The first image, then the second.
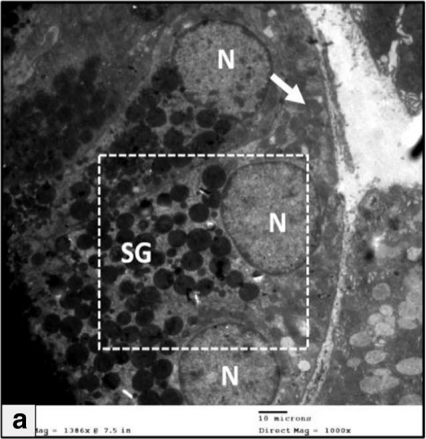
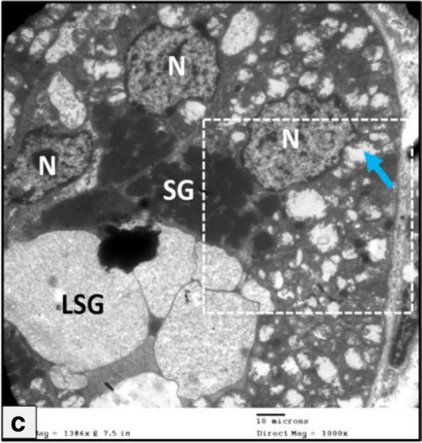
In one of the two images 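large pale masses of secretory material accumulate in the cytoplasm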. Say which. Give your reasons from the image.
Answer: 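The second image. Second image: large pale, electron lucent masses fill the lower part of the cell, and many pale spaces lie in the cytoplasm. First image: the cytoplasm holds rounded dark, electron dense granules without large pale masses.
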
